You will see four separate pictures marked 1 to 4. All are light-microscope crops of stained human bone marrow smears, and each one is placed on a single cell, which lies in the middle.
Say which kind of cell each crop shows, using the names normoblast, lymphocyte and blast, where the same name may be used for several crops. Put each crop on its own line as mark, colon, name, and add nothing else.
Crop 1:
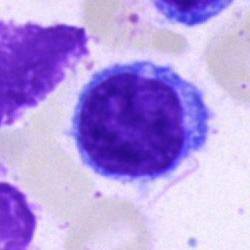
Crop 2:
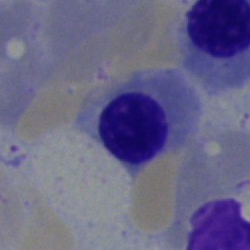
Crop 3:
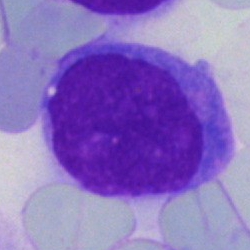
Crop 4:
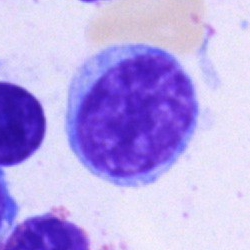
1: lymphocyte
2: normoblast
3: blast
4: lymphocyte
